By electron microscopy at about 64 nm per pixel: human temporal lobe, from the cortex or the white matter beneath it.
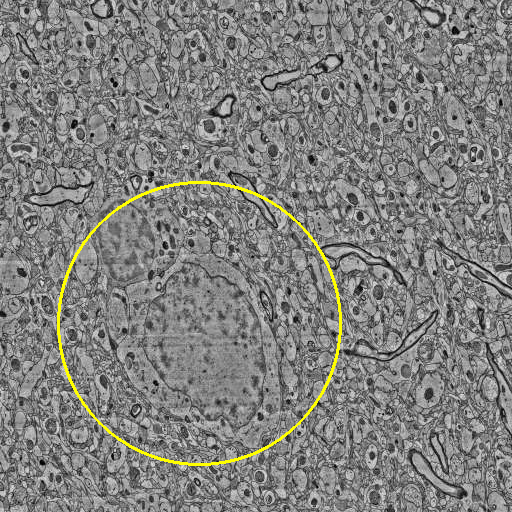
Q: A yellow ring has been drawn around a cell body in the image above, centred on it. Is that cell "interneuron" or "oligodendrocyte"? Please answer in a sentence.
The ring surrounds the cell body of an interneuron.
